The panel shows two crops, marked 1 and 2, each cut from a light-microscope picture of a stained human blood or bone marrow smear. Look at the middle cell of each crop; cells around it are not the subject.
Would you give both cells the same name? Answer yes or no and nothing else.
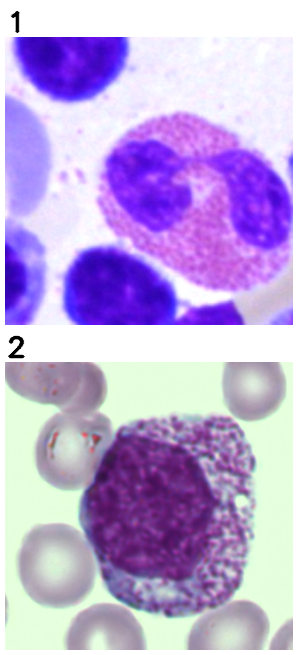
no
